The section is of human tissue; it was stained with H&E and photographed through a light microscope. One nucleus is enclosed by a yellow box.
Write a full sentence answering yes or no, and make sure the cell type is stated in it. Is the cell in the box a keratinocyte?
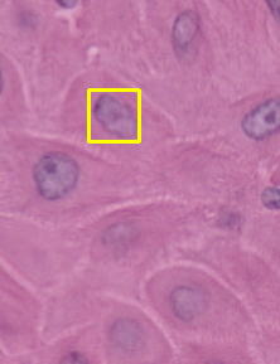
Yes, where cell type is concerned, the cell in the box is a keratinocyte.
